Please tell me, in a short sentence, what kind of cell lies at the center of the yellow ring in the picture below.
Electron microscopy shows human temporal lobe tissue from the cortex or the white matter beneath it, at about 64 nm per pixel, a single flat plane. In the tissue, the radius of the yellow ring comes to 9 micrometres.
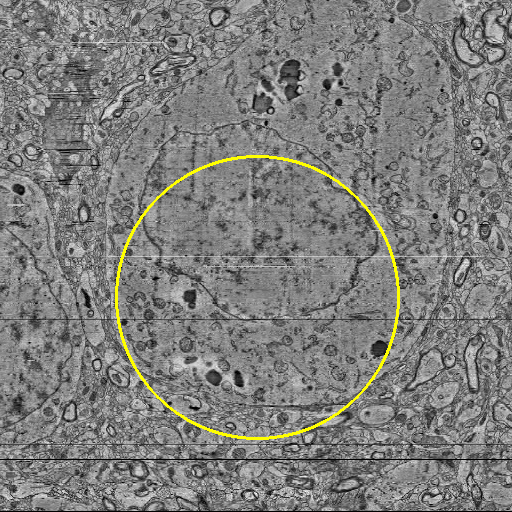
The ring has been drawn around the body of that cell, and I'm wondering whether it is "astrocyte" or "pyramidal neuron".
The cell at the center of the ring is a pyramidal neuron.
